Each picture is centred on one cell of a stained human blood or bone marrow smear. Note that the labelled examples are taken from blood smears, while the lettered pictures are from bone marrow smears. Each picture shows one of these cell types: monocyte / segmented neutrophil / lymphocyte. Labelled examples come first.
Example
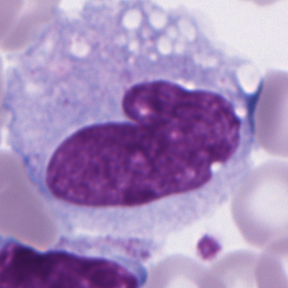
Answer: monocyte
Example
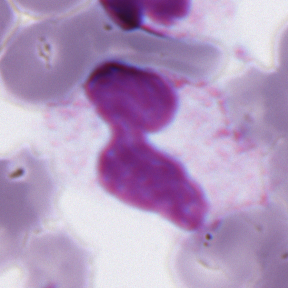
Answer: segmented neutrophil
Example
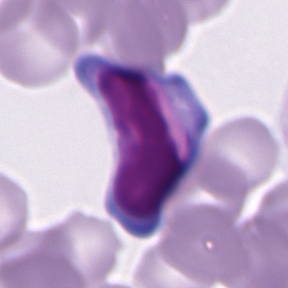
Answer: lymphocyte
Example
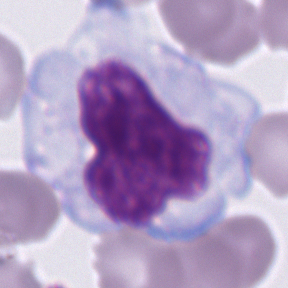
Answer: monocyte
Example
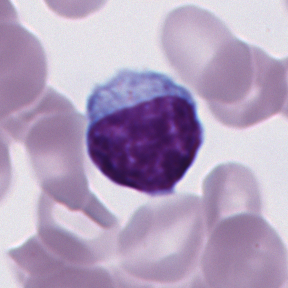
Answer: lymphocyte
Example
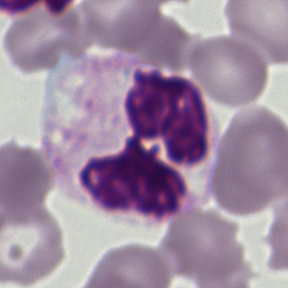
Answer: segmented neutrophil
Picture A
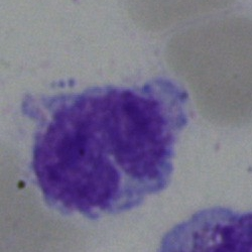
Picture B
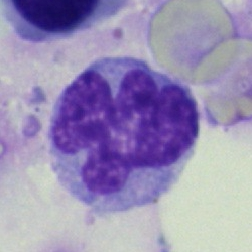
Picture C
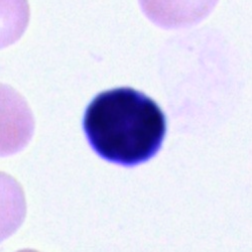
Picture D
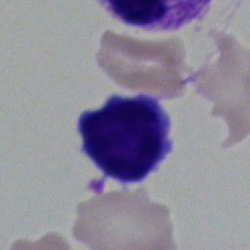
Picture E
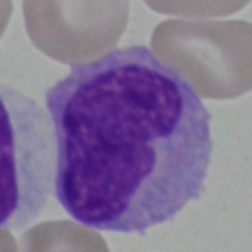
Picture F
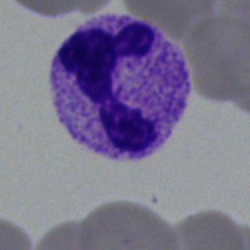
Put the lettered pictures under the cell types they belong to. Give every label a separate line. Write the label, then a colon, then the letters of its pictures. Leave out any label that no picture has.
monocyte: A, B, E
segmented neutrophil: F
lymphocyte: C, D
